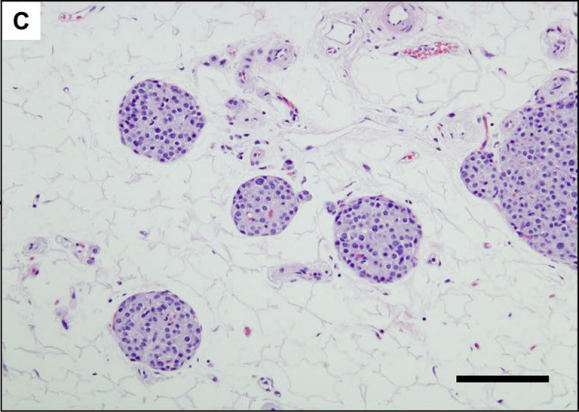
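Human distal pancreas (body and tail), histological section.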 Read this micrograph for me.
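Pancreatic tissue in which the exocrine acini are gone and the field is filled with large, clear fat cells and thin fibrous strands with small vessels. Several round, sharply bounded islets of Langerhans remain, each a compact cluster of small cells with round purple nuclei and pale pink cytoplasm, lying isolated in the fat.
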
